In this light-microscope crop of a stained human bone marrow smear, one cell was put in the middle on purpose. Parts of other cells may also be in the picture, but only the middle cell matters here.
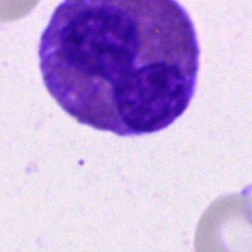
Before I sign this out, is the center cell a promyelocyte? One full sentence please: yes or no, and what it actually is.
No, the cell of interest here is an eosinophil and not a promyelocyte.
